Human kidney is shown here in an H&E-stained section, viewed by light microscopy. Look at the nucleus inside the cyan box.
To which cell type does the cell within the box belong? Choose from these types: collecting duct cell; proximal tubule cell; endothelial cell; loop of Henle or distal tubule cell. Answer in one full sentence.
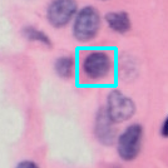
In the stained section, the cell within the box is a collecting duct cell.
